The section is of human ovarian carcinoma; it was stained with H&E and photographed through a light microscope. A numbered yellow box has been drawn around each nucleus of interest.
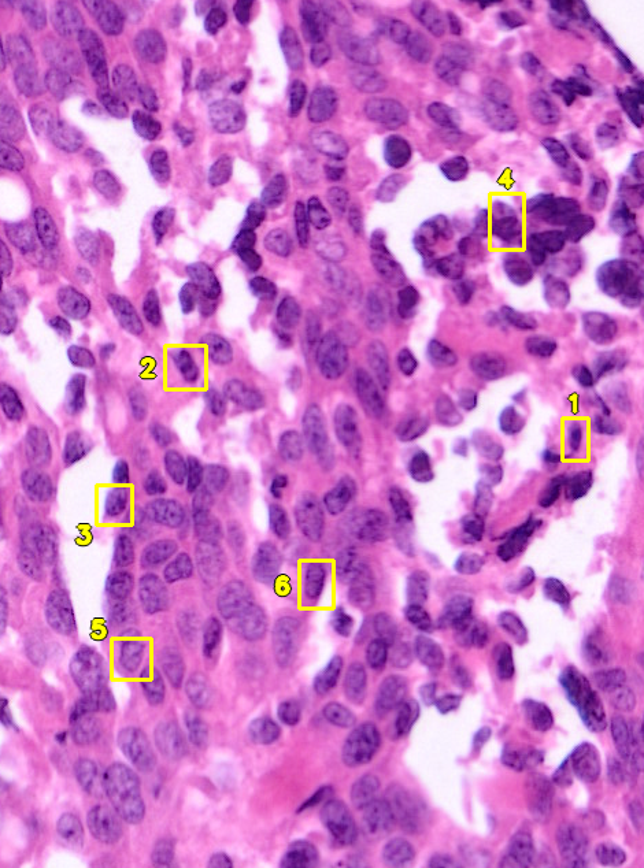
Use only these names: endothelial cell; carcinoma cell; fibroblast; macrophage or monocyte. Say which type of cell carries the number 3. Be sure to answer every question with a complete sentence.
Cell 3 in the field is a carcinoma cell.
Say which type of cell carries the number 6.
The cell indicated with the number 6 is classed as a carcinoma cell.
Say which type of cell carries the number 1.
Cell 1 should be recorded as a macrophage or monocyte.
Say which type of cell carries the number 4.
To a carcinoma cell belongs the nucleus marked 4.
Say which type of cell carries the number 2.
That cell with number 2 is a macrophage or monocyte.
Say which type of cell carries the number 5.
The cell tagged with 5 in this tissue section is a carcinoma cell.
